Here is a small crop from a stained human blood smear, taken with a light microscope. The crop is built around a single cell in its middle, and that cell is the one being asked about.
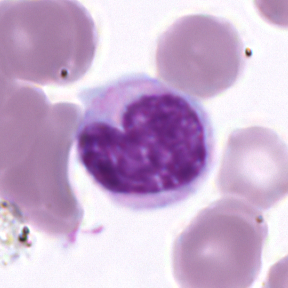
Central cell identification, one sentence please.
The cell at the centre of the field is a band neutrophil.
